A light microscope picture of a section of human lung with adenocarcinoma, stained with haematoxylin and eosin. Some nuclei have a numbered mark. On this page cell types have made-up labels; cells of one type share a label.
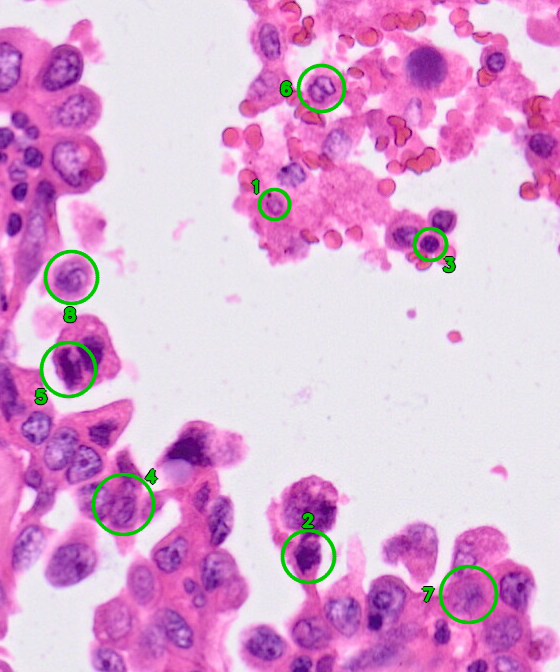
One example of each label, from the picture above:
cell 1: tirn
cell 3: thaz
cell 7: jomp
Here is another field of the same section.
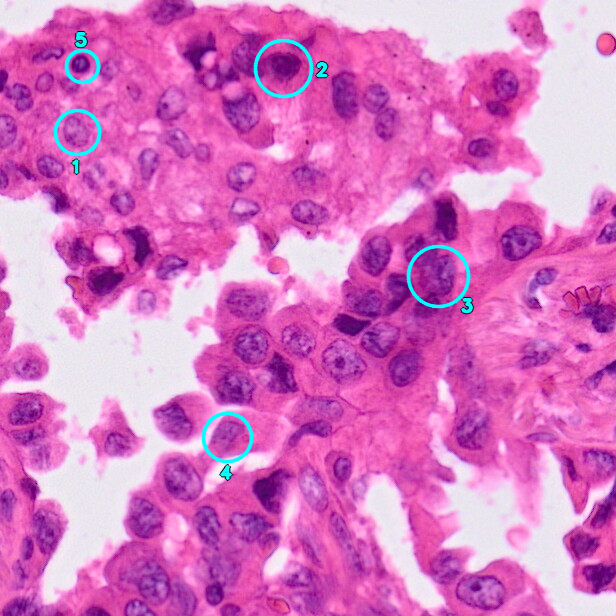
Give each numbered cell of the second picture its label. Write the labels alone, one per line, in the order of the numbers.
tirn
jomp
jomp
jomp
thaz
